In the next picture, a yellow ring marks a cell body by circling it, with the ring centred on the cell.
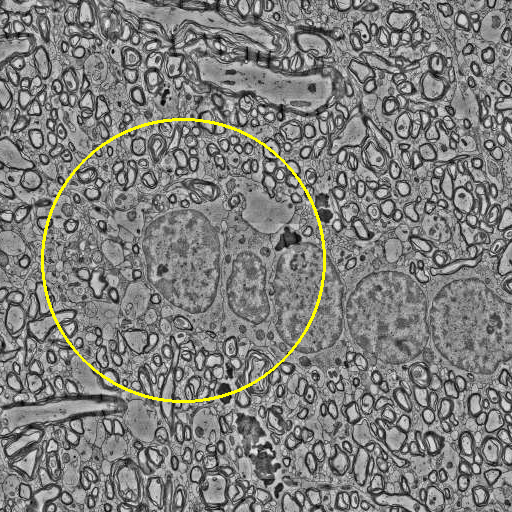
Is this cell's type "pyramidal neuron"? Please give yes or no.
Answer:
no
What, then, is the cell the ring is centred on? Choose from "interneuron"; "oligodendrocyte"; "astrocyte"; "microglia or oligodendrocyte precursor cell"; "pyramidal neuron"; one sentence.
The correct answer is that the cell is an oligodendrocyte.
